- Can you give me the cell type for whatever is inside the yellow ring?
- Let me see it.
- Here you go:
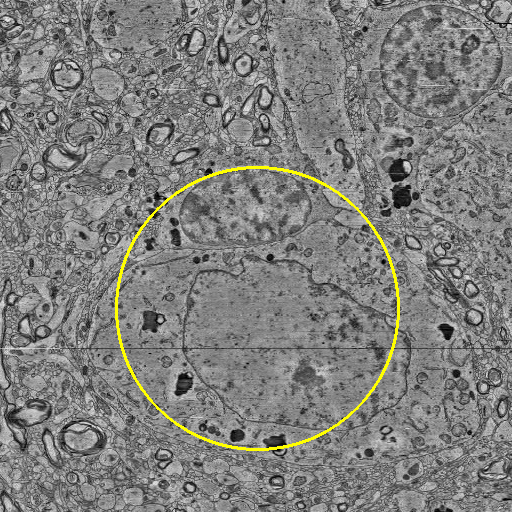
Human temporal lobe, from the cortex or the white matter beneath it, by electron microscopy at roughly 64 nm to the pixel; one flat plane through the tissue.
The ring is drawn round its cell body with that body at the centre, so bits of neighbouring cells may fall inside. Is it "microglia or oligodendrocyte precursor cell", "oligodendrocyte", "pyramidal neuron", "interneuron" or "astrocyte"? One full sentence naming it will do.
The cell body in the middle of the ring in this picture belongs to a pyramidal neuron.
